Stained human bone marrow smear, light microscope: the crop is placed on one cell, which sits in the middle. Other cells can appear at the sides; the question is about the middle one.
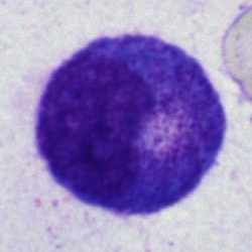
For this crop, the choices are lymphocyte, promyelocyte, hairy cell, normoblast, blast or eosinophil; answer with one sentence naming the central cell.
Here the cell in the middle is a promyelocyte.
